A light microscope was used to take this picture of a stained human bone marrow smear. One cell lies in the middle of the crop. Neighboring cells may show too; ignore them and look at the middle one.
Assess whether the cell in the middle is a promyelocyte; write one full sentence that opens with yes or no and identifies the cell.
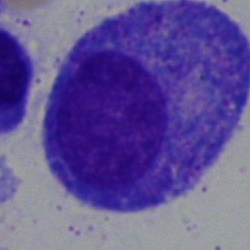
Yes, the one cell at the centre is a promyelocyte.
